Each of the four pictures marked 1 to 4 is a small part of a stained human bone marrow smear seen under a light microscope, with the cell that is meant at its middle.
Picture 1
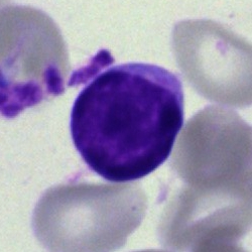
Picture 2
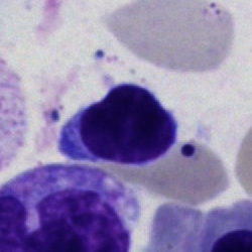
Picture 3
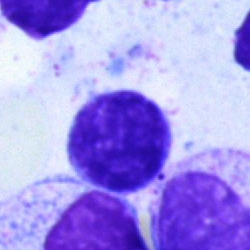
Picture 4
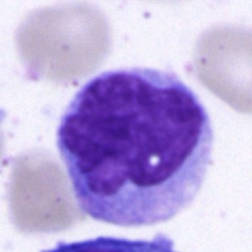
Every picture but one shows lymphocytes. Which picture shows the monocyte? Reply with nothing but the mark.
4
